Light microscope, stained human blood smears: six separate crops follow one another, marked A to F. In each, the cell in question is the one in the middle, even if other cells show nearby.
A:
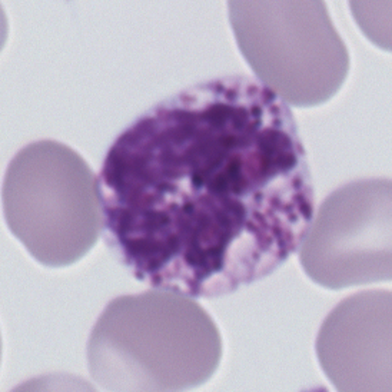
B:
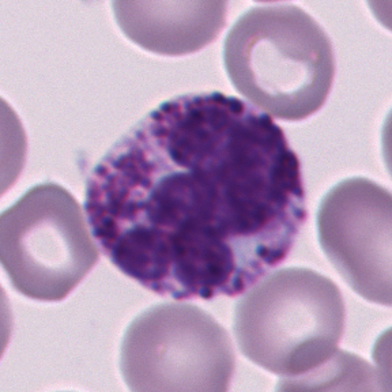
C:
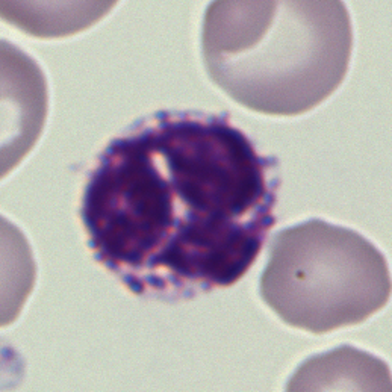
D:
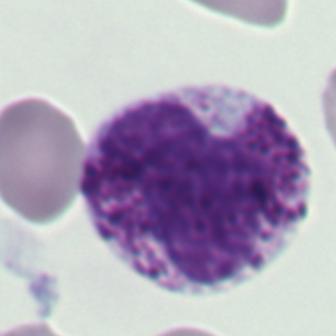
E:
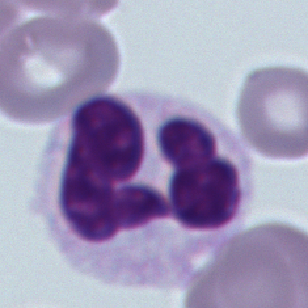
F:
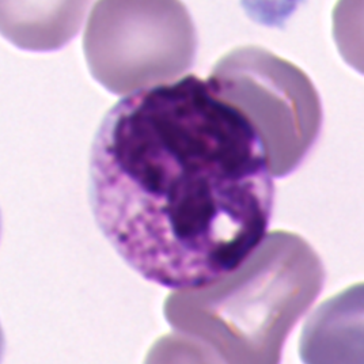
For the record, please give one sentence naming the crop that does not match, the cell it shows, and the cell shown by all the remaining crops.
There is a neutrophil in crop E, while all the other crops show basophils.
